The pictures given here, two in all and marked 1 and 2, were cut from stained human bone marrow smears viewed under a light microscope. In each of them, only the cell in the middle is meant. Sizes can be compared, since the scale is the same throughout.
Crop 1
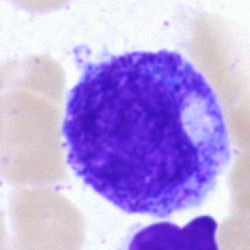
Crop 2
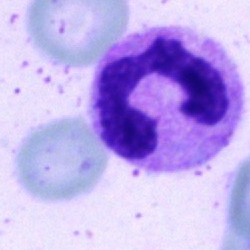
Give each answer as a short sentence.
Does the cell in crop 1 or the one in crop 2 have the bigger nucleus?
Larger is the nucleus in crop 1, at roughly 2 times the area of the other.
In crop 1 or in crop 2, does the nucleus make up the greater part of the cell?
It is the cell in crop 1 that is filled more by its nucleus.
